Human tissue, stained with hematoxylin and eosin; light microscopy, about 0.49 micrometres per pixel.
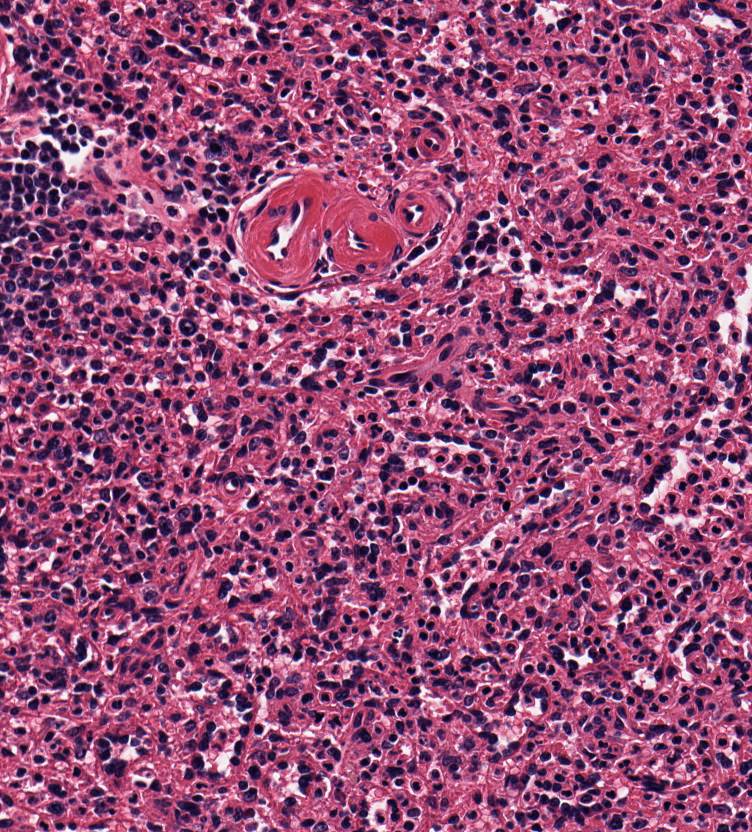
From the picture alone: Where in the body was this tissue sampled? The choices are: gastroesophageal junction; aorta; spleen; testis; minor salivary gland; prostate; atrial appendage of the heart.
spleen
